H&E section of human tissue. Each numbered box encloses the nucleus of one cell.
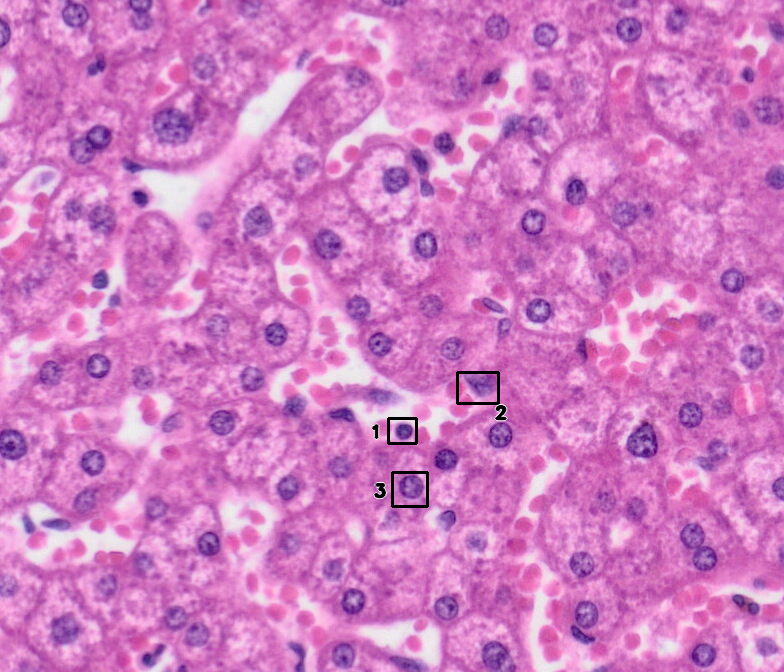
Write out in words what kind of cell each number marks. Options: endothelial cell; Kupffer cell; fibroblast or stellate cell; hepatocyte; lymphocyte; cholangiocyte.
Cell 1 is a lymphocyte, cell 2 is an endothelial cell and cell 3 is a hepatocyte.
